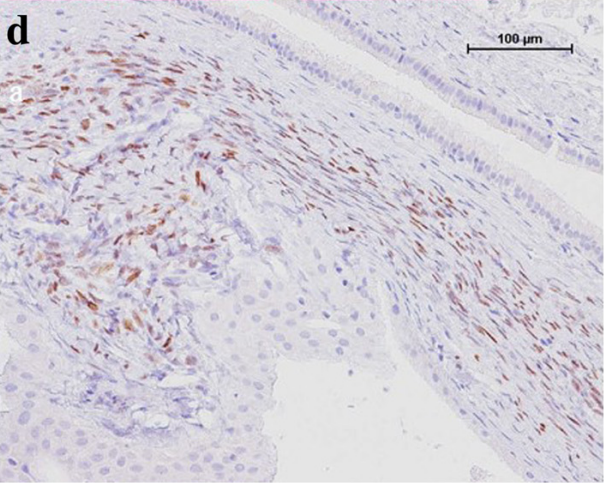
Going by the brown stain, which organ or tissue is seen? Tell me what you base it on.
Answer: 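Brown-stained elongated nuclei lie in the spindle cells beneath the epithelium. The epithelial lining cells have blue, unstained nuclei. On this evidence: stroma.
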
